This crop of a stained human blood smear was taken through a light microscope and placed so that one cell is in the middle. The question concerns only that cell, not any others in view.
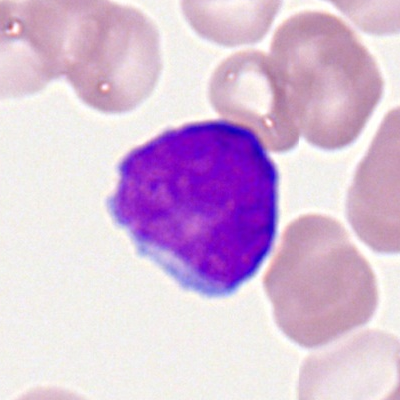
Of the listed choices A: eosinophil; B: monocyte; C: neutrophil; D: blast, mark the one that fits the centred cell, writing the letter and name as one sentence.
The right choice is option D: the cell in the middle is a blast.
